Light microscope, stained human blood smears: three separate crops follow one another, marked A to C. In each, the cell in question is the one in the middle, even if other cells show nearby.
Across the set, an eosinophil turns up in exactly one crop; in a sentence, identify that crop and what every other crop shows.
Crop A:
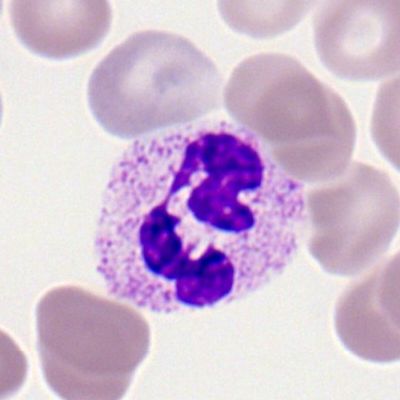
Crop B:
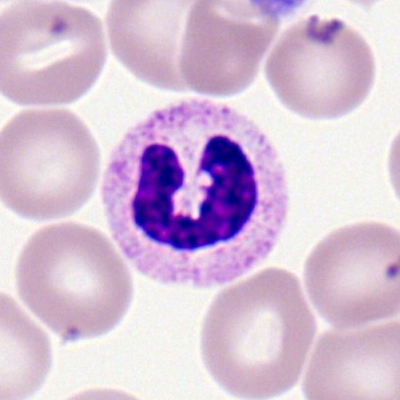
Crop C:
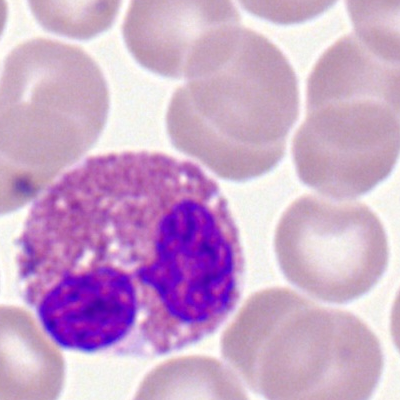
Crop C contains an eosinophil; meanwhile, crop A is a segmented neutrophil and crop B is a band neutrophil.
